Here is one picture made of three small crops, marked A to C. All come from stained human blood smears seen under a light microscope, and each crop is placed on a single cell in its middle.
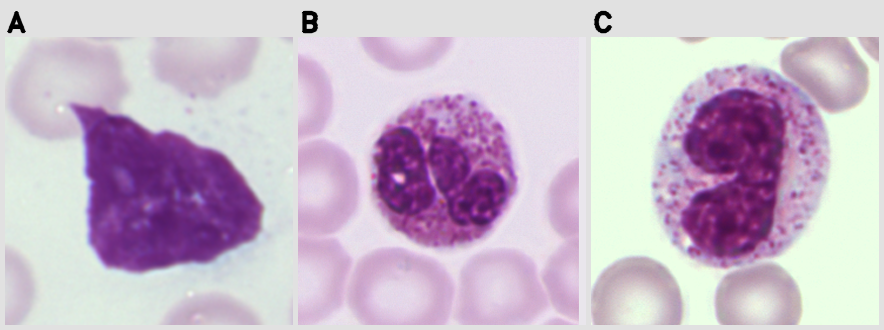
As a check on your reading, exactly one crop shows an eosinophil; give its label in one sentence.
The cell identified as an eosinophil is the one in crop B.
